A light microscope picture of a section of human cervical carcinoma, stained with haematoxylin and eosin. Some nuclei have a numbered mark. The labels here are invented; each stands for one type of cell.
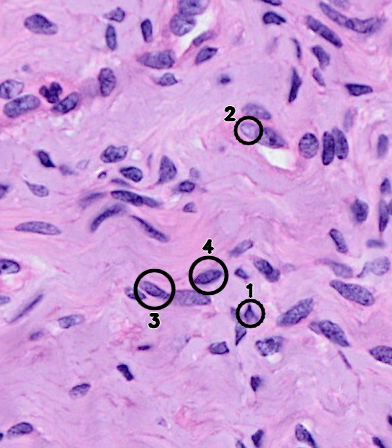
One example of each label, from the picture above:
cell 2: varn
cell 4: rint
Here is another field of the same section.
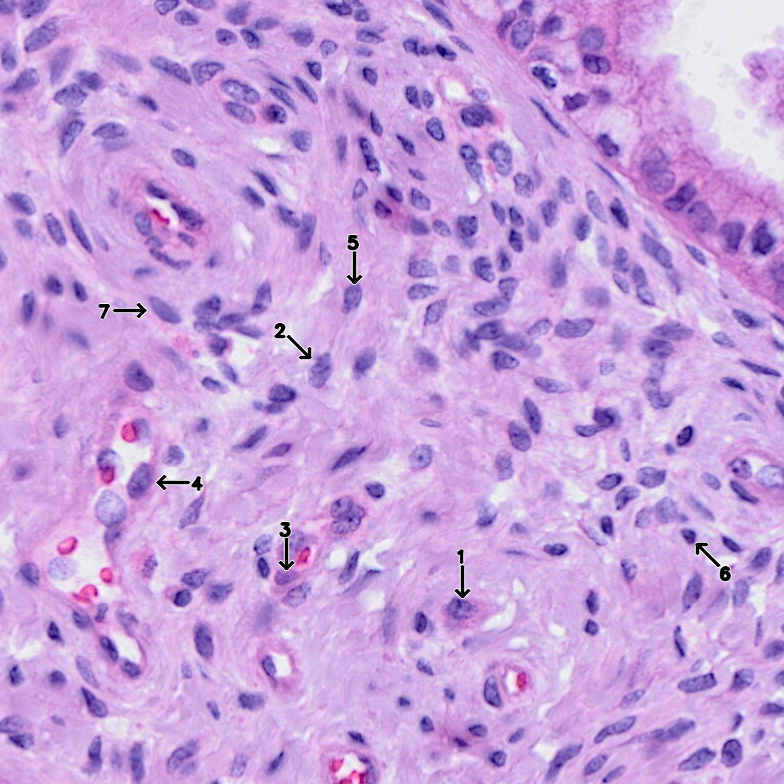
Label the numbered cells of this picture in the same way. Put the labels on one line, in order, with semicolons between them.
varn; rint; varn; varn; rint; rint; rint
